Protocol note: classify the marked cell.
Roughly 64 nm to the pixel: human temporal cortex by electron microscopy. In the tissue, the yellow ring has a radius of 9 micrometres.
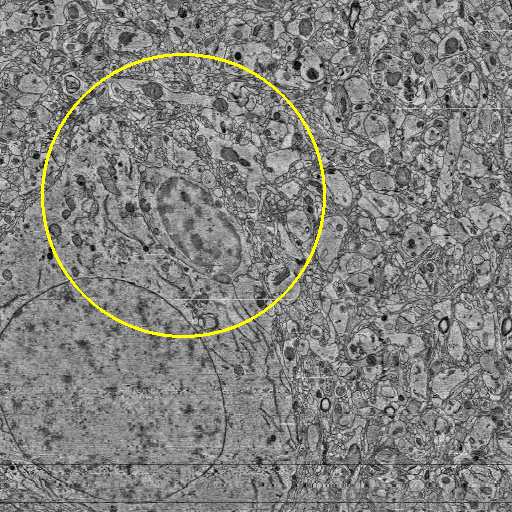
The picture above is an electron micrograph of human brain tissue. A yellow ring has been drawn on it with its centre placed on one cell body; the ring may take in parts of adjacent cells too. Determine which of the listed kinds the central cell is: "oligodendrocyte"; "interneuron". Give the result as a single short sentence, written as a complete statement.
The central cell is an oligodendrocyte.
